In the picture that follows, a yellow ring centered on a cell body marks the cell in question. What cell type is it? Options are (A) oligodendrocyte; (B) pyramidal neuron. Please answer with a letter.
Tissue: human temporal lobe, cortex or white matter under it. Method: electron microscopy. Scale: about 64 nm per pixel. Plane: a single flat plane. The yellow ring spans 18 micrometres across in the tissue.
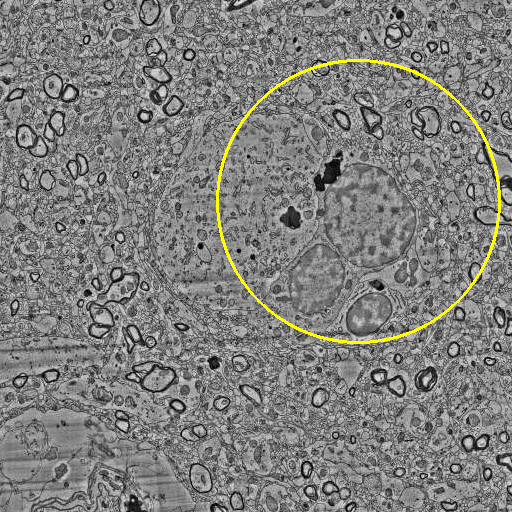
A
